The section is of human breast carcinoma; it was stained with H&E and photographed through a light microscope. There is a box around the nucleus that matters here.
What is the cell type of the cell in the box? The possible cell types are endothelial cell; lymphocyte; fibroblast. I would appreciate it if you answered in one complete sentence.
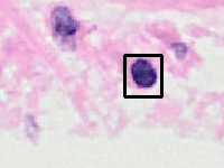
The cell type represented by the cell in the box is that of a lymphocyte.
